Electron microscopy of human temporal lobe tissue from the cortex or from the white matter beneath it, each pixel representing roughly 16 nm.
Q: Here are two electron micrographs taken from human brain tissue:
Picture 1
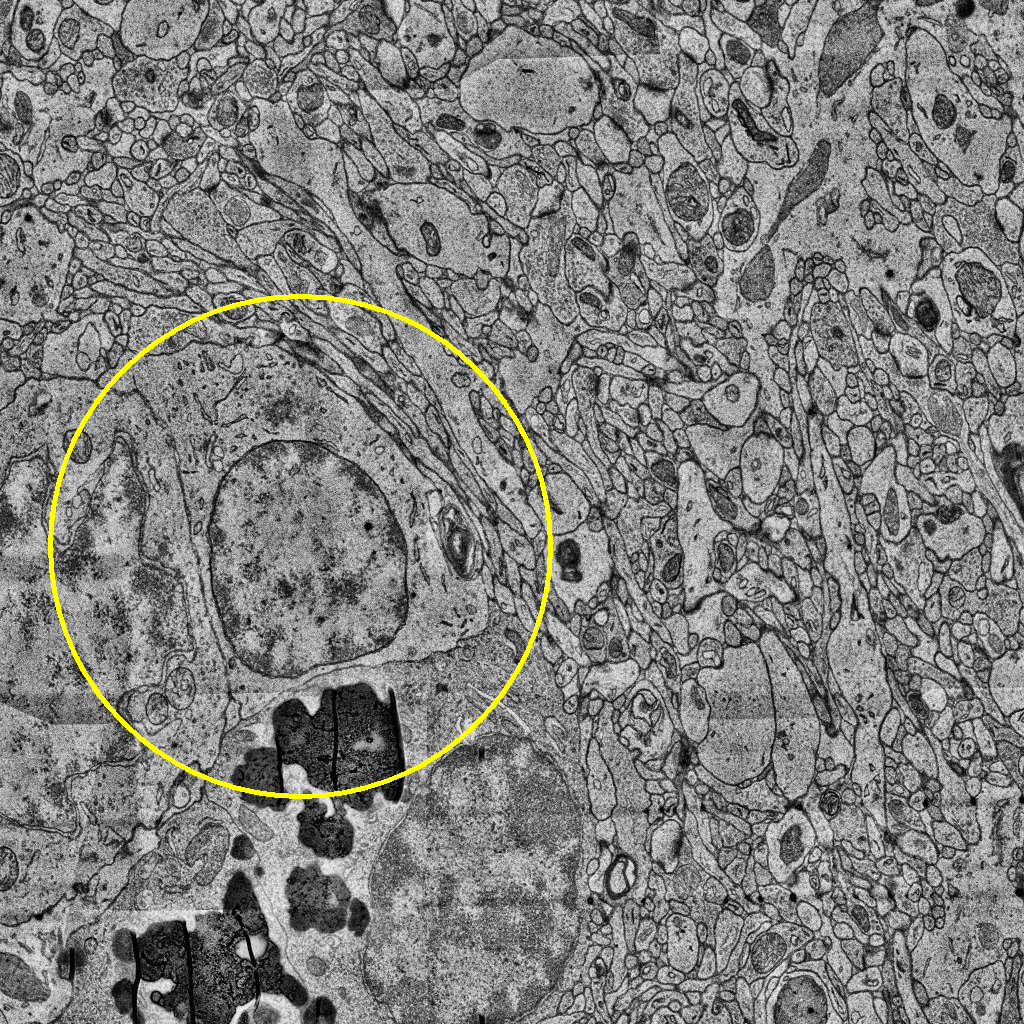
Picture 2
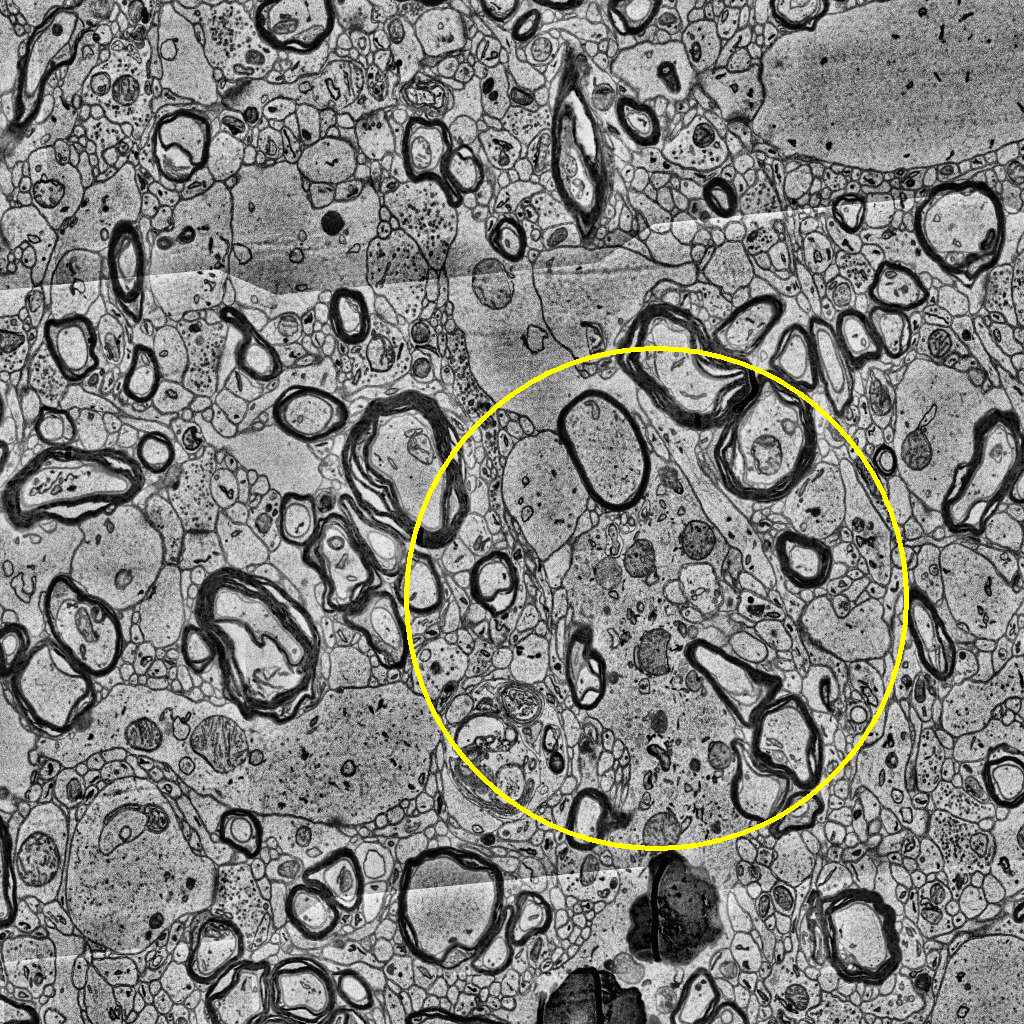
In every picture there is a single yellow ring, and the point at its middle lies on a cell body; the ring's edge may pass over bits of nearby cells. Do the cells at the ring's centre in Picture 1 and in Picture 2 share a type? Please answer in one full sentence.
No, the cells at the ring's centre in Picture 1 and Picture 2 are of two types.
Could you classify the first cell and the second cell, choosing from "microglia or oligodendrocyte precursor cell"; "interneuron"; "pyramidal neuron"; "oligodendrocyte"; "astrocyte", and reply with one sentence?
The first cell is a microglial cell or oligodendrocyte precursor cell; the second is an oligodendrocyte.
